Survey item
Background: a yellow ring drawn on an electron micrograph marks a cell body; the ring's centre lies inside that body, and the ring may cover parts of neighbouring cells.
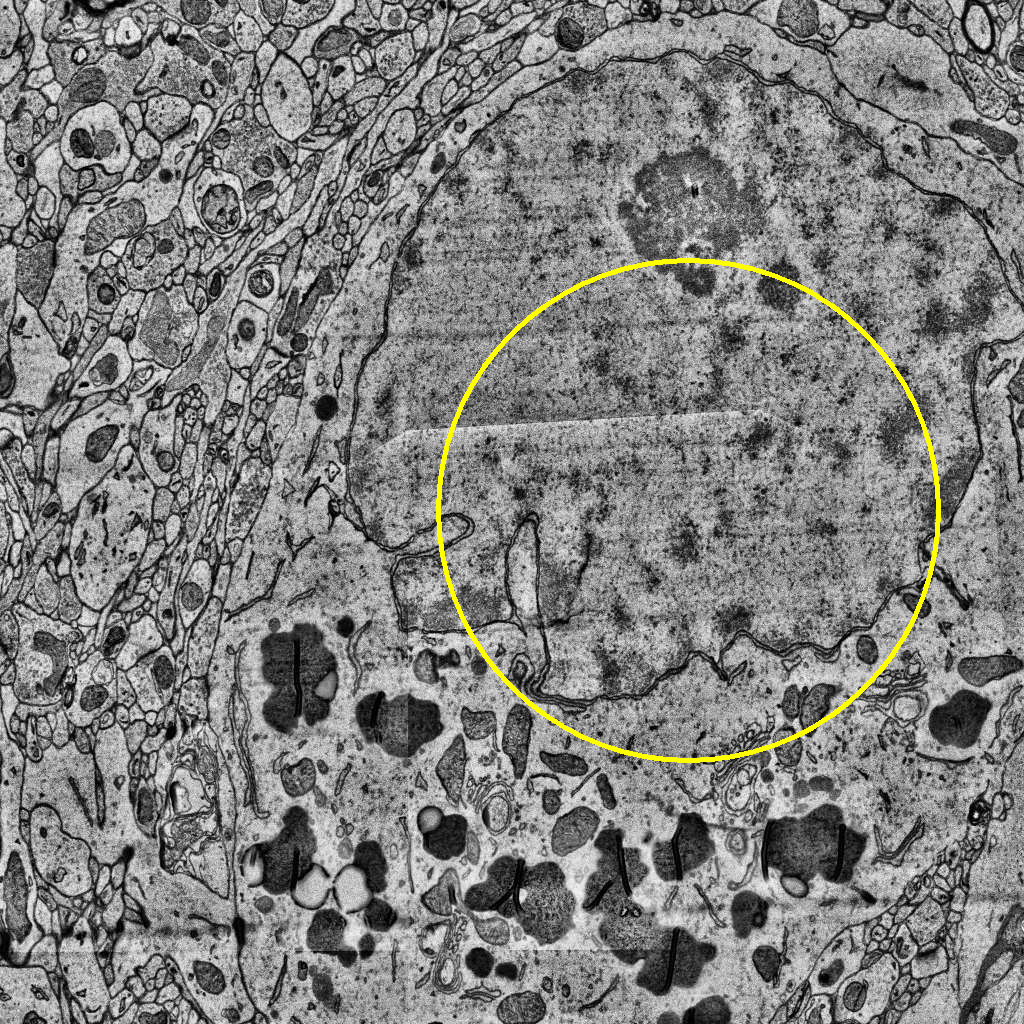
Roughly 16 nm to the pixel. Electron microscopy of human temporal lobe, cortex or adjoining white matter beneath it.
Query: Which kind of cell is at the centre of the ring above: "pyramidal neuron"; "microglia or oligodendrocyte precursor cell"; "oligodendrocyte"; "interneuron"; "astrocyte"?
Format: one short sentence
The cell in the middle of the ring is an interneuron.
